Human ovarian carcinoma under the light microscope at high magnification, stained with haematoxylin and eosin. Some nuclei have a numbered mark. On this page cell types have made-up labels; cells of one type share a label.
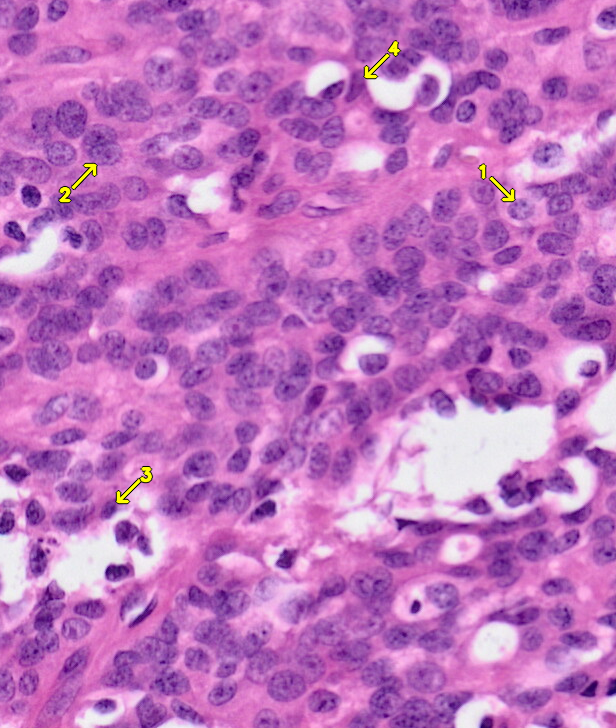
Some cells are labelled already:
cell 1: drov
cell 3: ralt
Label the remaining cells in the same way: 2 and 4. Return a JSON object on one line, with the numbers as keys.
{"2": "ralt", "4": "ralt"}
